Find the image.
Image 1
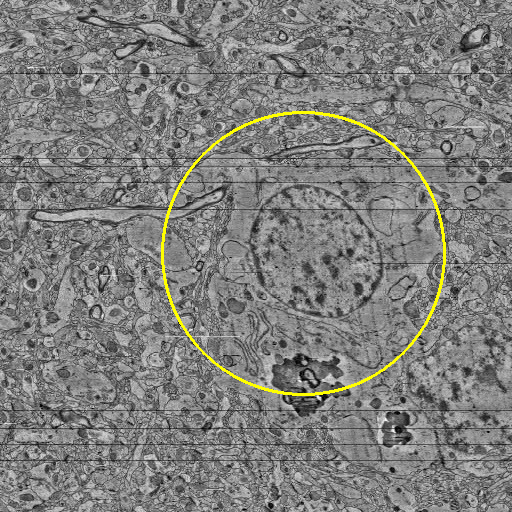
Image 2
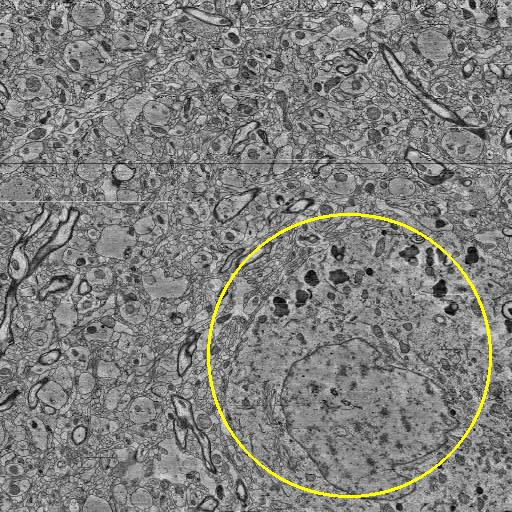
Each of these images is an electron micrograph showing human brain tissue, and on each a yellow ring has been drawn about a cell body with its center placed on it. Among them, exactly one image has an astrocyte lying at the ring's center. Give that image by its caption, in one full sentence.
The ring in Image 1 is centered on the cell the question describes.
